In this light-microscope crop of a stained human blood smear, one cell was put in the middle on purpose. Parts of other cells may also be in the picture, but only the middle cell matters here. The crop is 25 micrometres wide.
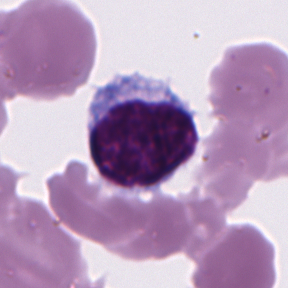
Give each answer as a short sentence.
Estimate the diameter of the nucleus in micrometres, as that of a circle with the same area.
Taken as a circle, the nucleus has a diameter of about 8 micrometres.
